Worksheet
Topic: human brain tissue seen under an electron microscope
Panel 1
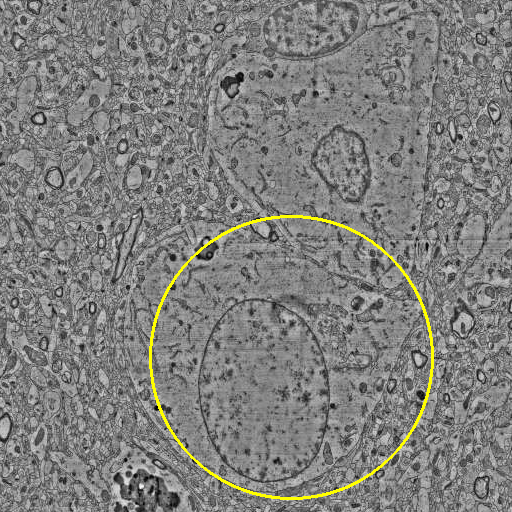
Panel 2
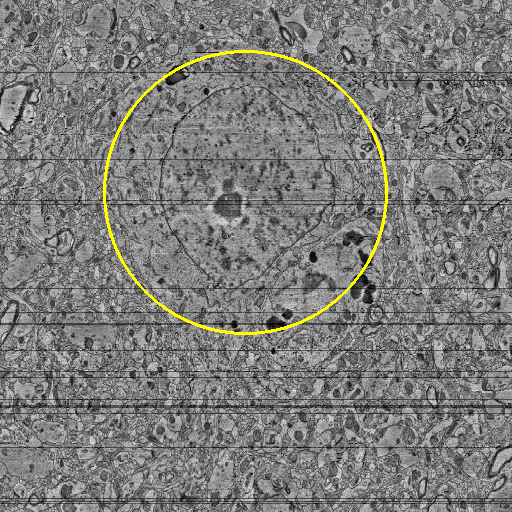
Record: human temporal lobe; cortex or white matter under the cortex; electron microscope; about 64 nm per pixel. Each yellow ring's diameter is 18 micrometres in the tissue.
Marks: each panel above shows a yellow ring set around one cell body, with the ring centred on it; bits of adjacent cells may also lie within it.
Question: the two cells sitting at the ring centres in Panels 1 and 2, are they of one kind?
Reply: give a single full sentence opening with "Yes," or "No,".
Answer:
Yes, the two ring-centre cells in Panel 1 and Panel 2 are of one kind.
